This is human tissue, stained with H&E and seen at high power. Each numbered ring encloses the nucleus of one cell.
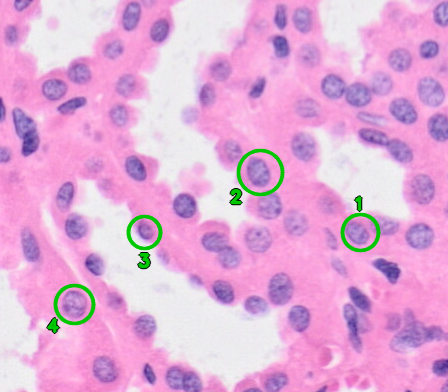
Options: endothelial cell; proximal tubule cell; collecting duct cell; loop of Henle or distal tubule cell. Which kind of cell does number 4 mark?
proximal tubule cell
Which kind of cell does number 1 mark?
loop of Henle or distal tubule cell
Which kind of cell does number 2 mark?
loop of Henle or distal tubule cell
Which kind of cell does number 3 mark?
loop of Henle or distal tubule cell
